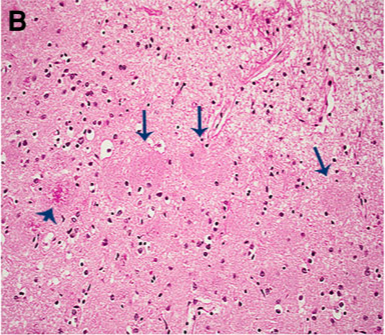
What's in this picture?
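This is cerebral cortex in which several plaques stand out in the neuropil. Scattered round and oval dark nuclei of neurons and glia lie in a pale pink, finely fibrillar background, some with clear halos around them. Among them are several rounded, pale pink, fluffy areas without a dense centre; they have soft, ill-defined edges and push the neighbouring cells aside, the look called cotton wool plaques. The upper right corner shows paler, more fibrous tissue.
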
